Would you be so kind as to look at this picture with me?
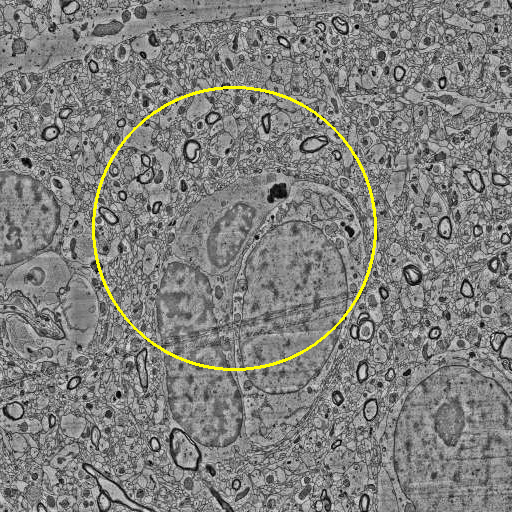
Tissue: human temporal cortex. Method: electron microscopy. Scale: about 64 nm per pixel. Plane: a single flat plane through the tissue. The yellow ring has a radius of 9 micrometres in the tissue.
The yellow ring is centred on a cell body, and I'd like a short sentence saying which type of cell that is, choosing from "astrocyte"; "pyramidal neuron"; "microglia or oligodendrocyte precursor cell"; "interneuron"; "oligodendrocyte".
The cell body in the ring belongs to an oligodendrocyte.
